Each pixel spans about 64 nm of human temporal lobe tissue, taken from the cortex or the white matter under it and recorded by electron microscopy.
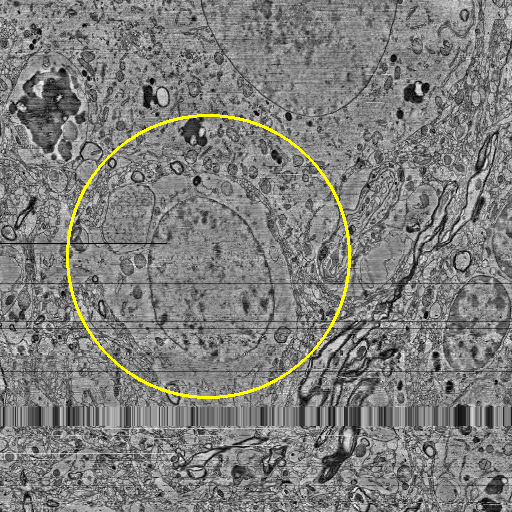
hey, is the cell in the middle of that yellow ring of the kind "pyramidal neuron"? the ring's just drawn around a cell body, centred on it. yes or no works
no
